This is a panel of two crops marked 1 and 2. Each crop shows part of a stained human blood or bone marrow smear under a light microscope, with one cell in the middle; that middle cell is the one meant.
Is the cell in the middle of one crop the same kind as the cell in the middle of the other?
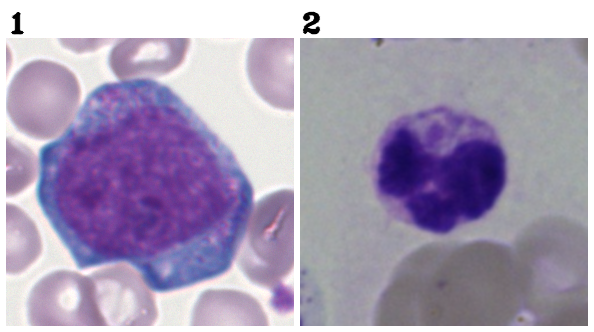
no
